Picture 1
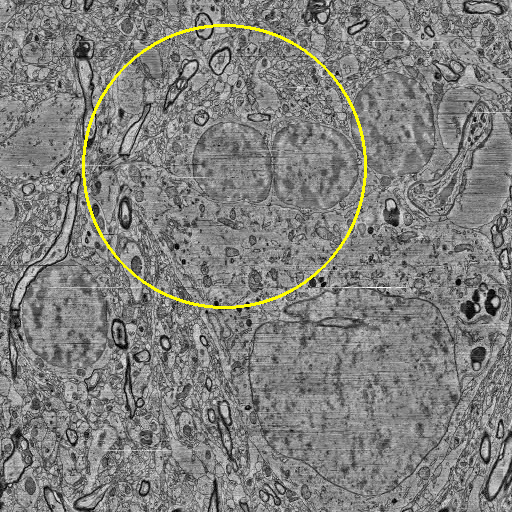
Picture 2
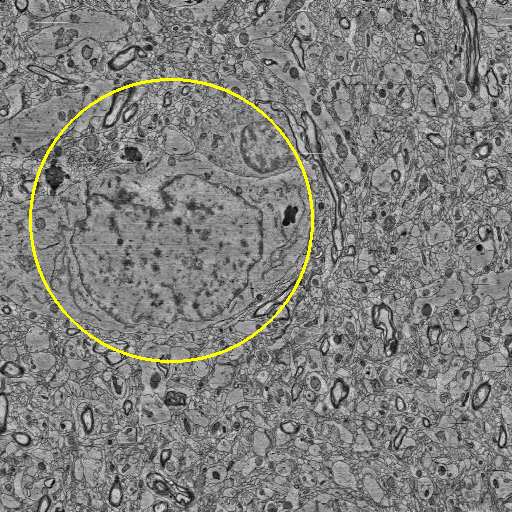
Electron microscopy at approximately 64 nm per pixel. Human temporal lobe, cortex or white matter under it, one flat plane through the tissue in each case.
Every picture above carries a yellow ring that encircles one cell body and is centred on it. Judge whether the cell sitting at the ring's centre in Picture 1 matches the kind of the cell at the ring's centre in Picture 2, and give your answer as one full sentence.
No, the cells centred in the rings of Pictures 1 and 2 belong to two kinds.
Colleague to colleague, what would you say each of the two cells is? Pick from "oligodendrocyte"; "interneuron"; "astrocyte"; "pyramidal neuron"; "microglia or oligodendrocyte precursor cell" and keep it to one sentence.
The cell in the first picture is an oligodendrocyte; the second picture's cell is an interneuron.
